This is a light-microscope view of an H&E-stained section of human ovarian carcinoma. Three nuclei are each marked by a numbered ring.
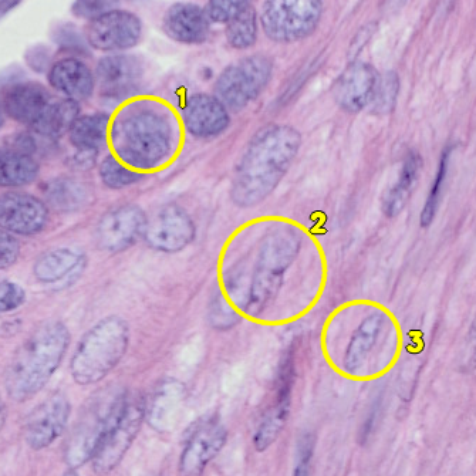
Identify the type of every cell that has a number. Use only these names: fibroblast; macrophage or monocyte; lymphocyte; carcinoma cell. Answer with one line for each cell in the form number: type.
1: carcinoma cell
2: fibroblast
3: fibroblast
